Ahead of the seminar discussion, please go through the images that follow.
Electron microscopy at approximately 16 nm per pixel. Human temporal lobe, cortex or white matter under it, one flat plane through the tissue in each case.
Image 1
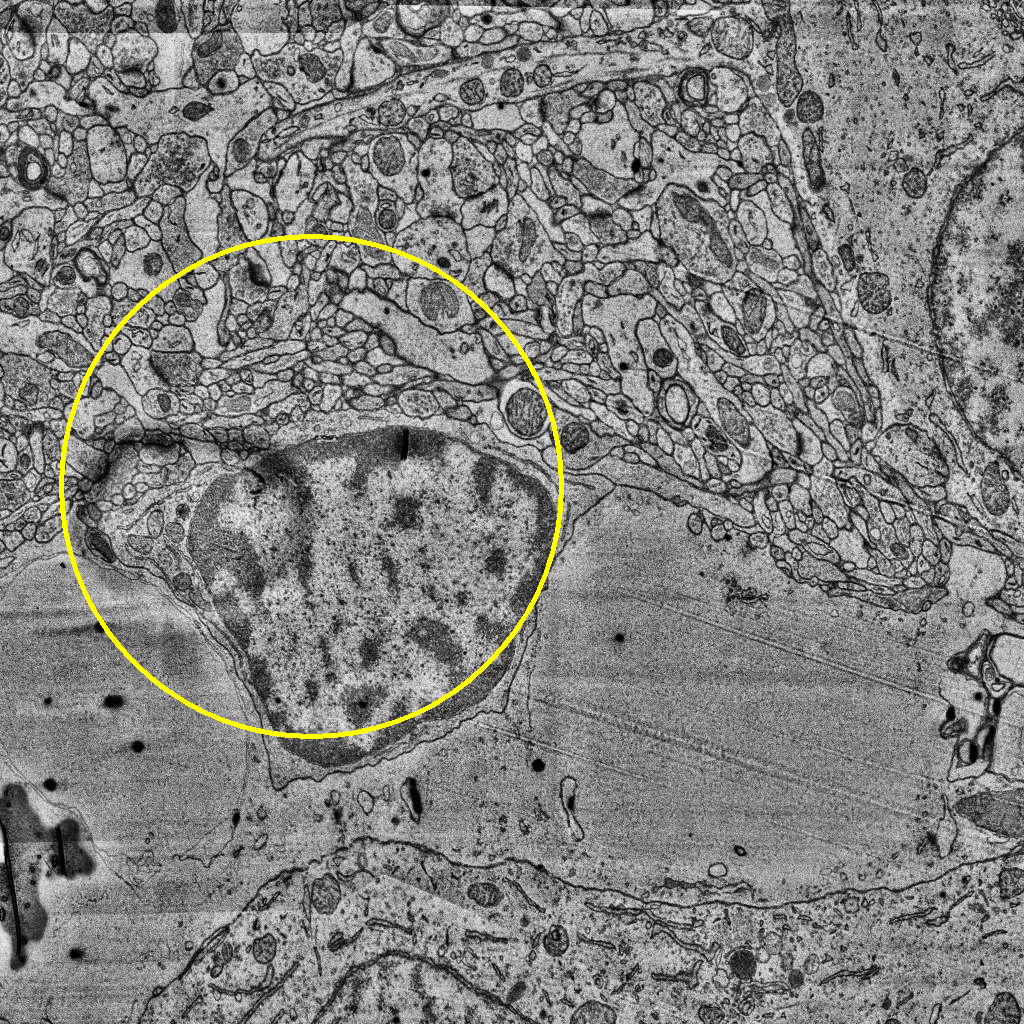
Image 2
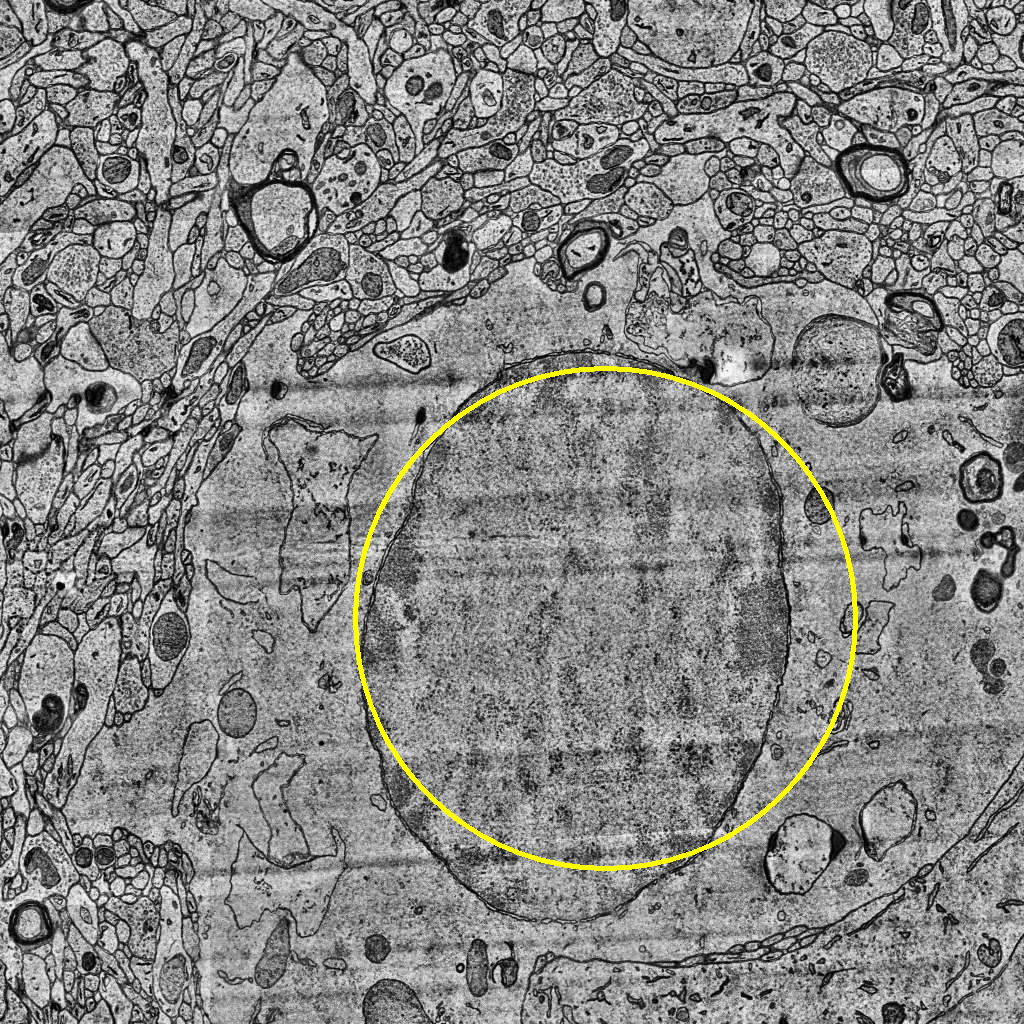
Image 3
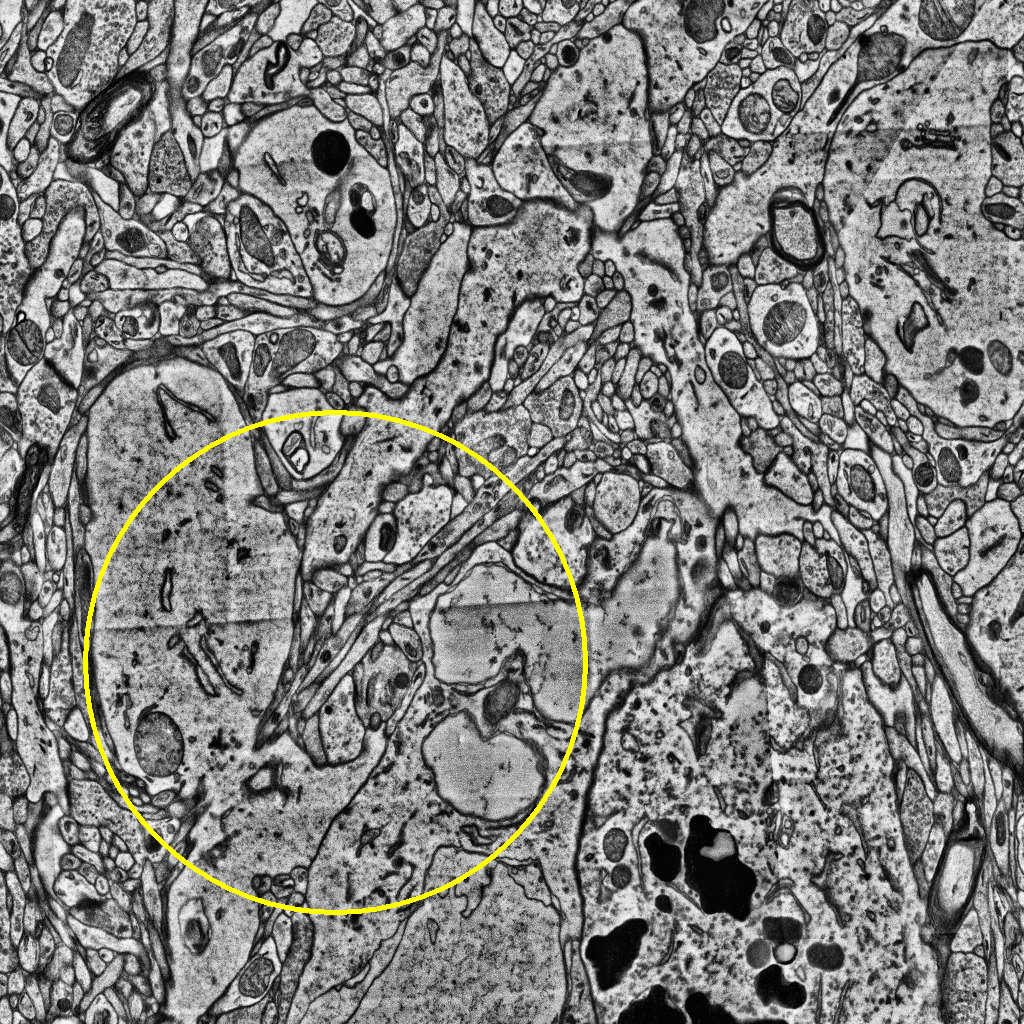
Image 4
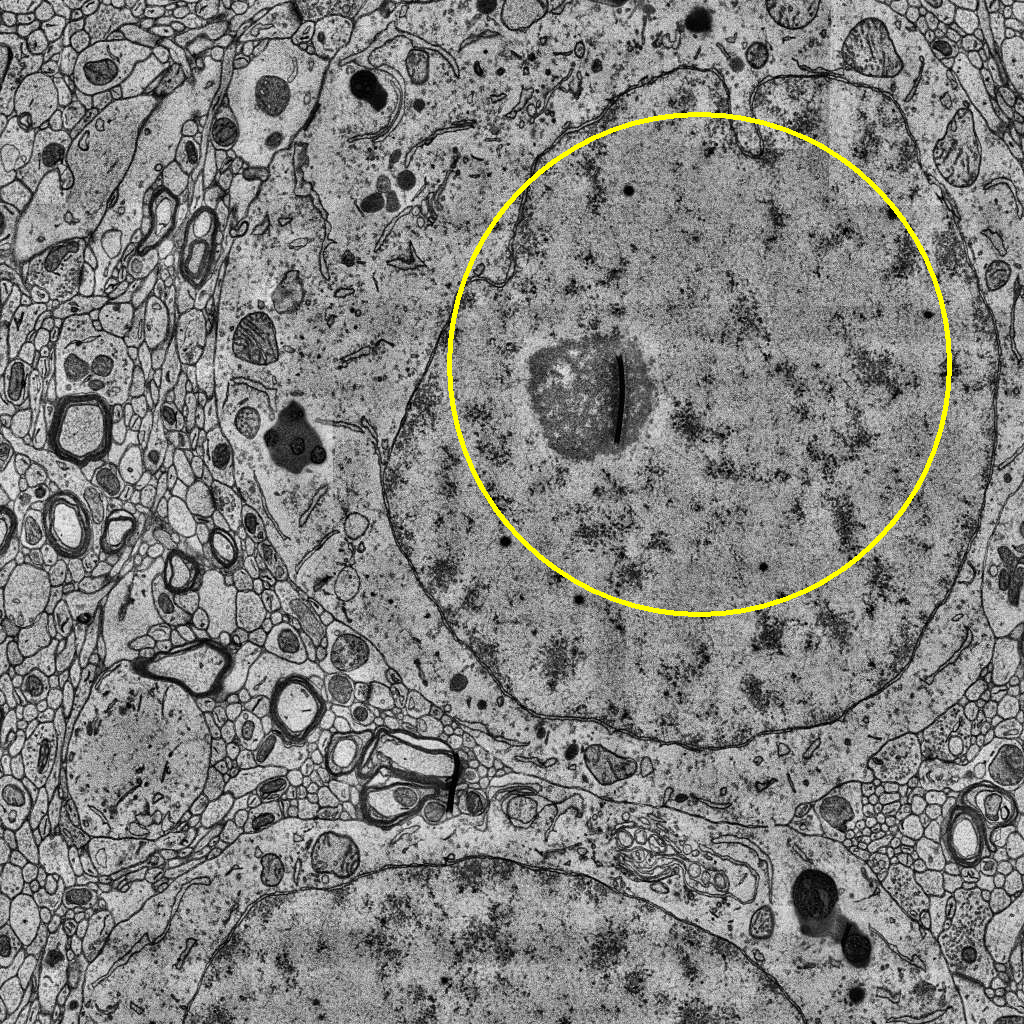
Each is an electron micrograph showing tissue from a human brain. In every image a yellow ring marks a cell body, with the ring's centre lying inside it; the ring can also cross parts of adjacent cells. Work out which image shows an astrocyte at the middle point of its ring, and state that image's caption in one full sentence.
In Image 2, the ring's centre lies within the cell you are looking for.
